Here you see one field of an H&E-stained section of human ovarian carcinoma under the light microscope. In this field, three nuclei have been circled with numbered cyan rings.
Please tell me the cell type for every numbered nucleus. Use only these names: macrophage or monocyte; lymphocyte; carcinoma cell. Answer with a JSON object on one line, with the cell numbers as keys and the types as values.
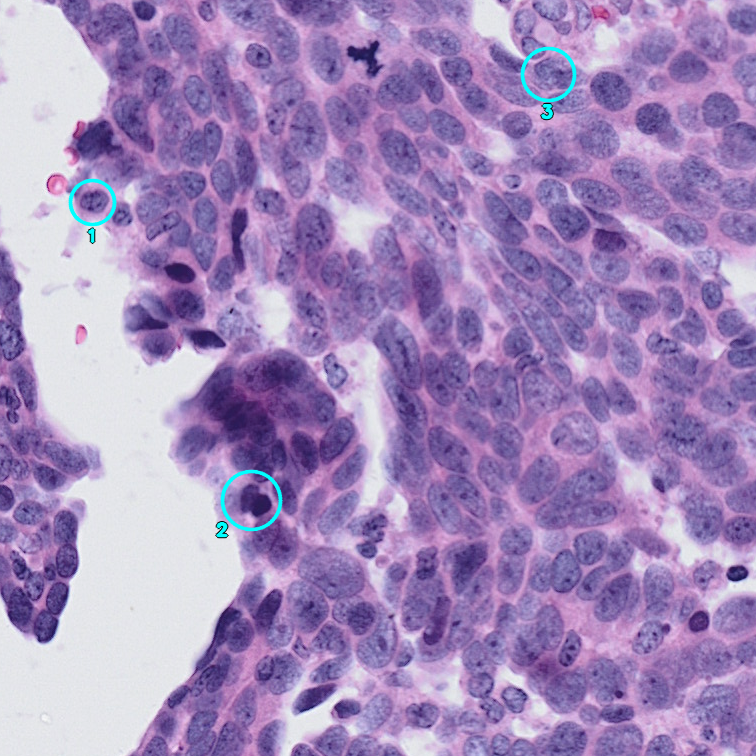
{"1": "macrophage or monocyte", "2": "carcinoma cell", "3": "carcinoma cell"}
